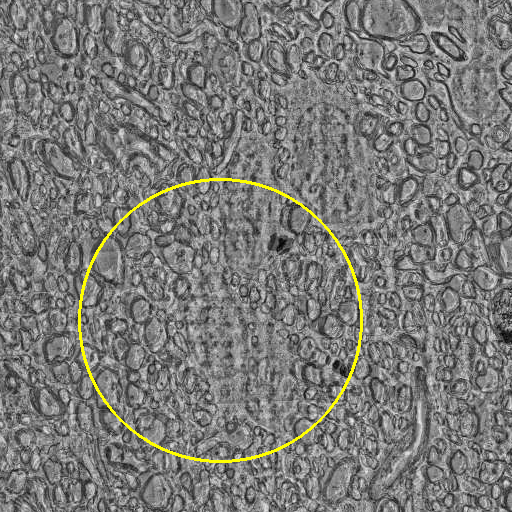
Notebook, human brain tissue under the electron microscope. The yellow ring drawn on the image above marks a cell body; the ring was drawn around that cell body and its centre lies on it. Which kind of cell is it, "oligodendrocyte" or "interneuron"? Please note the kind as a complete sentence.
The marked cell body is that of an oligodendrocyte.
